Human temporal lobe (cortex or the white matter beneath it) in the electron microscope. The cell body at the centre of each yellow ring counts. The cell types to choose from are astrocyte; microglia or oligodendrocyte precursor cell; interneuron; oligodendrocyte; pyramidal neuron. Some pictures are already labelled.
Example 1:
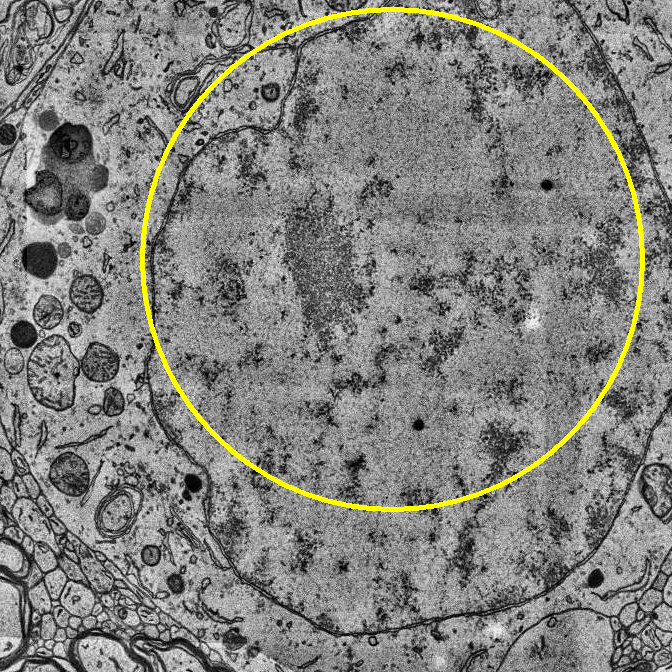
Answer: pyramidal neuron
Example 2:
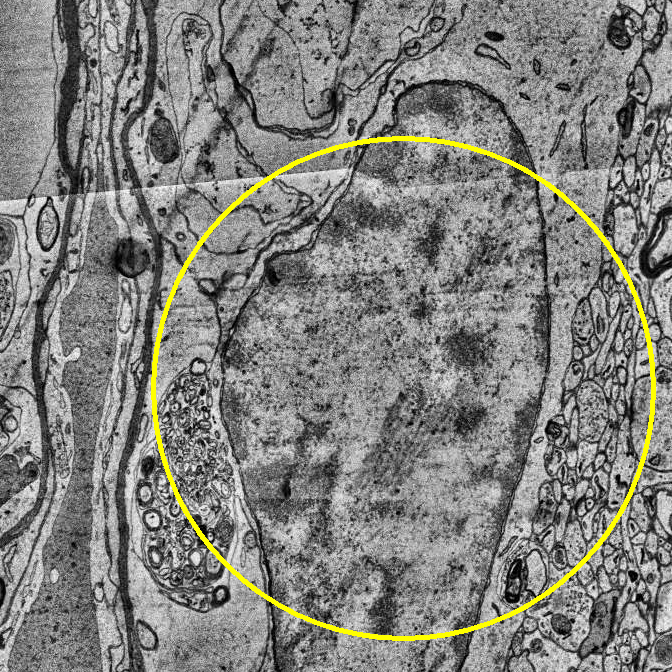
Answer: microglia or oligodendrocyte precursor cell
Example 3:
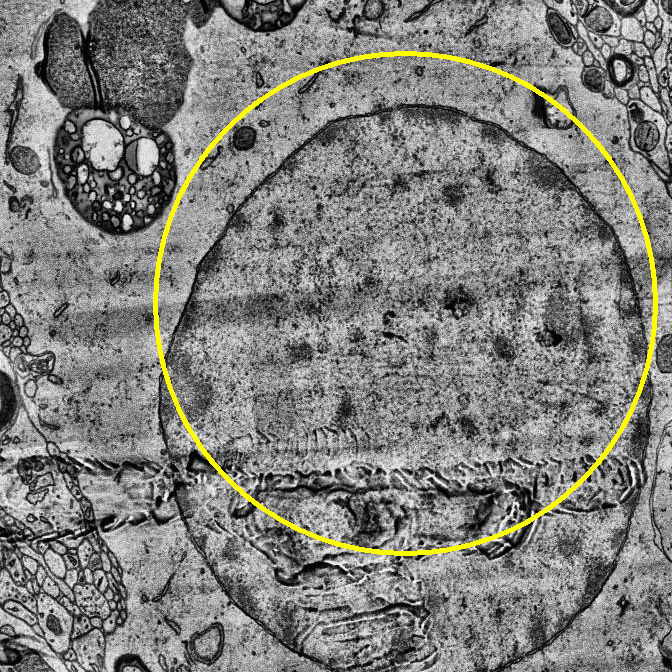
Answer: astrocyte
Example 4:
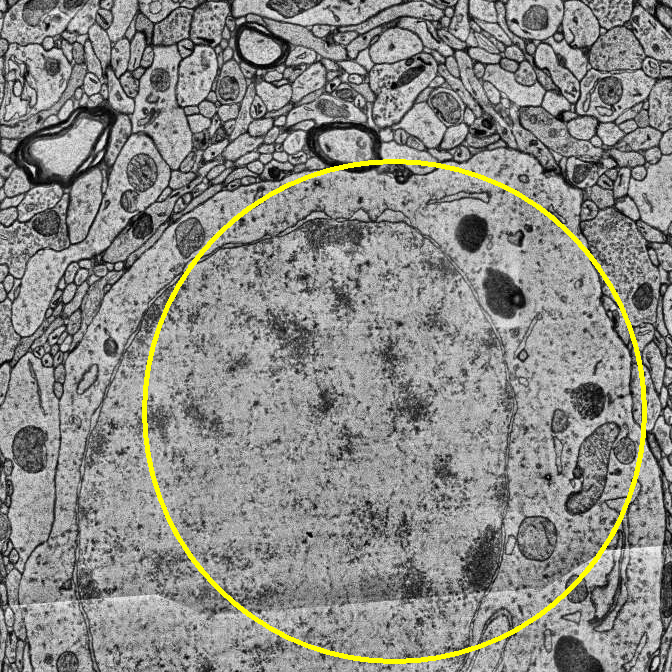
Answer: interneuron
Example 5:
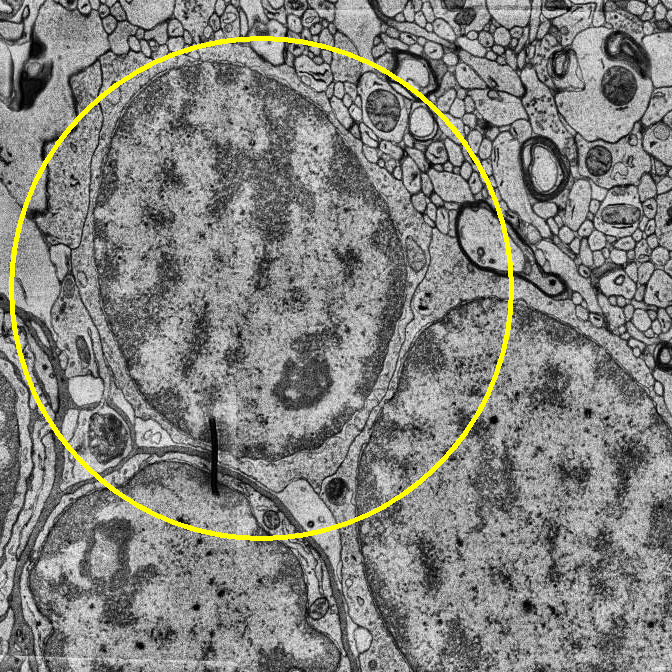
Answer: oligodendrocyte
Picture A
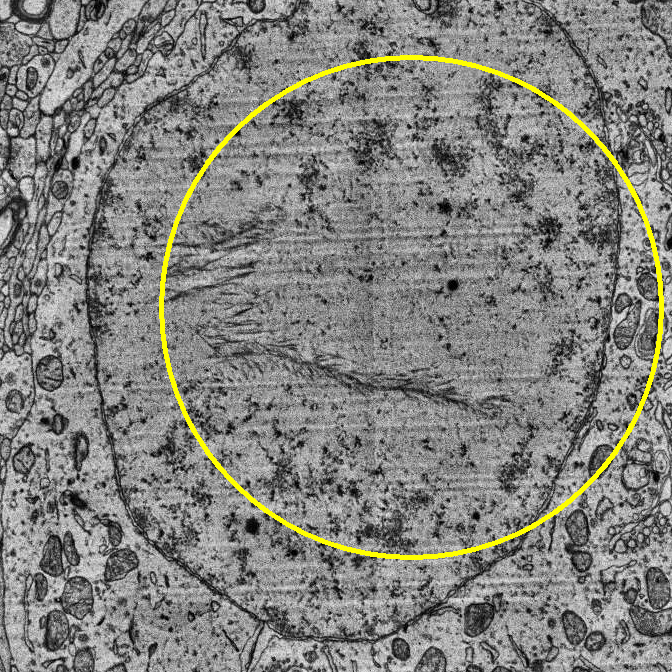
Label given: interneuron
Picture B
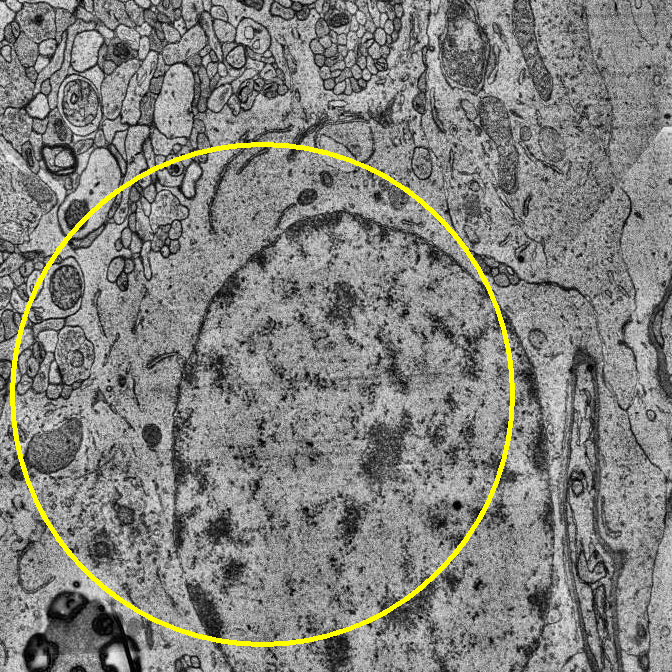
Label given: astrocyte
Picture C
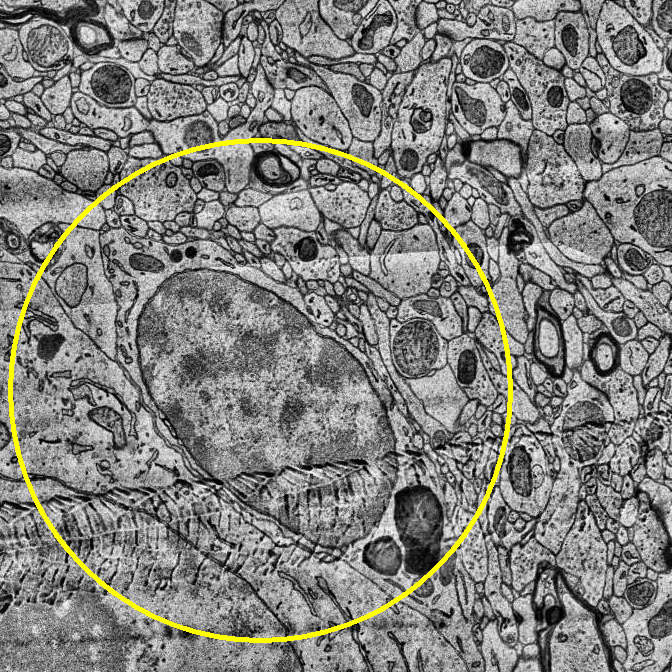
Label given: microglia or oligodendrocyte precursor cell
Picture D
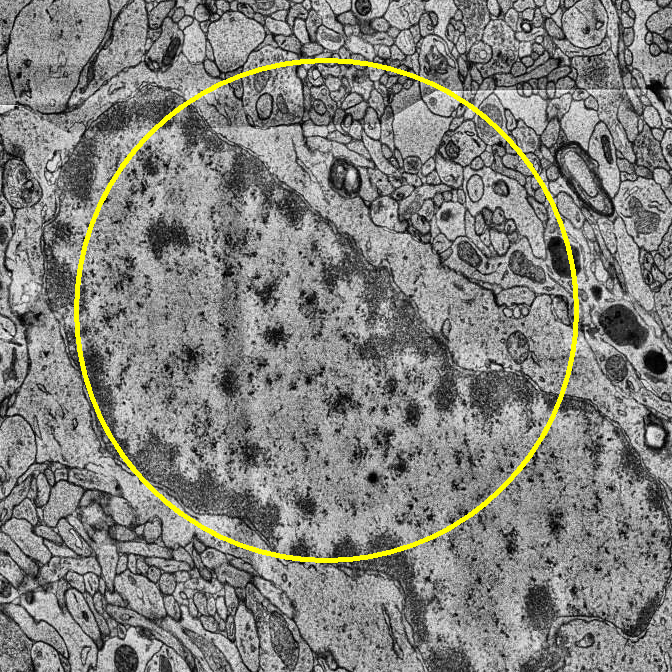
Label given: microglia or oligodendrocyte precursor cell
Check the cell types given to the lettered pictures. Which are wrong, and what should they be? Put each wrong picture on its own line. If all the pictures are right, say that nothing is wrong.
Every label is right.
